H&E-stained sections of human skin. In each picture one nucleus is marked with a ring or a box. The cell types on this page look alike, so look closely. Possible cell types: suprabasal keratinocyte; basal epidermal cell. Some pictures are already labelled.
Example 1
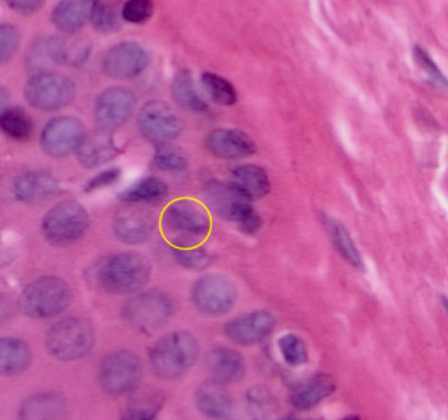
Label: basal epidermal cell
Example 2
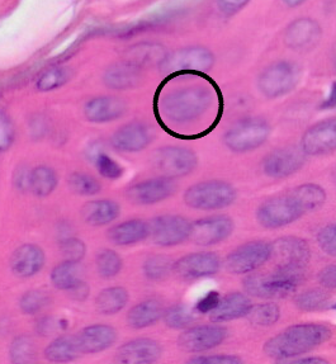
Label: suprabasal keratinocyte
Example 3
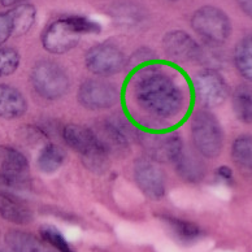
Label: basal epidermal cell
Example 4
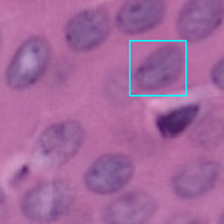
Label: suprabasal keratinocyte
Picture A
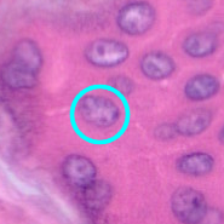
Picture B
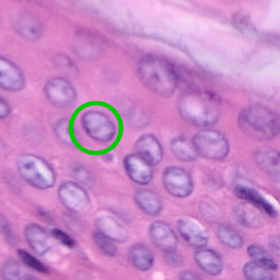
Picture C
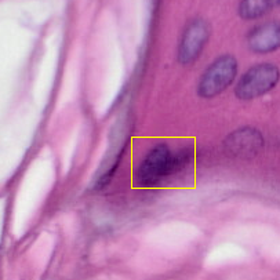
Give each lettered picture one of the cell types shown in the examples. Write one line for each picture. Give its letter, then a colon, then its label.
A: suprabasal keratinocyte
B: suprabasal keratinocyte
C: suprabasal keratinocyte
